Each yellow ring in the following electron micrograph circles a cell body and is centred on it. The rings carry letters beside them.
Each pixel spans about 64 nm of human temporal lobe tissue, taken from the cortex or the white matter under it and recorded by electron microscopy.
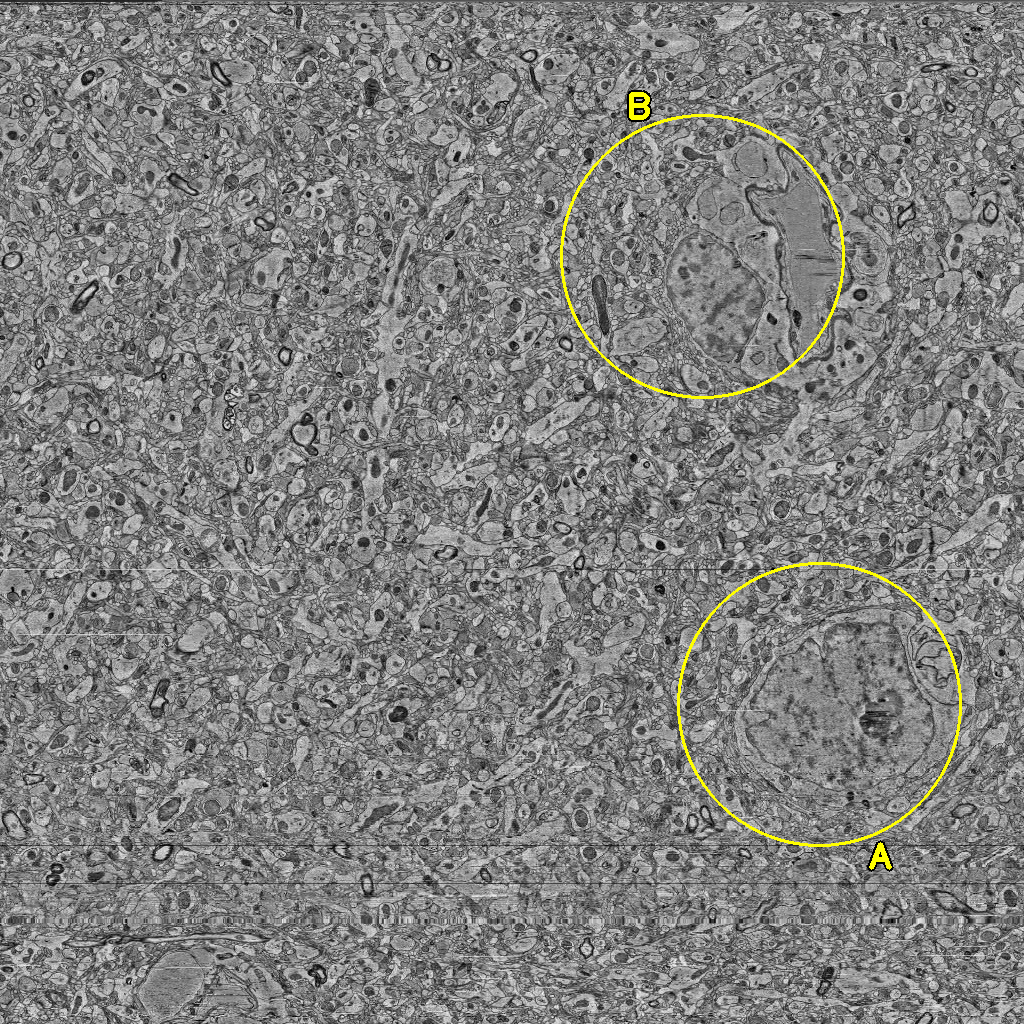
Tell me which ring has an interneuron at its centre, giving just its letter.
A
